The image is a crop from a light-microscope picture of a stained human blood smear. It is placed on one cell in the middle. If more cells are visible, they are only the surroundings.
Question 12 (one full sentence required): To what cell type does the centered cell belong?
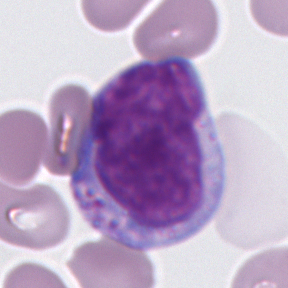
The cell nearest the centre of this crop is an atypical promyelocyte.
